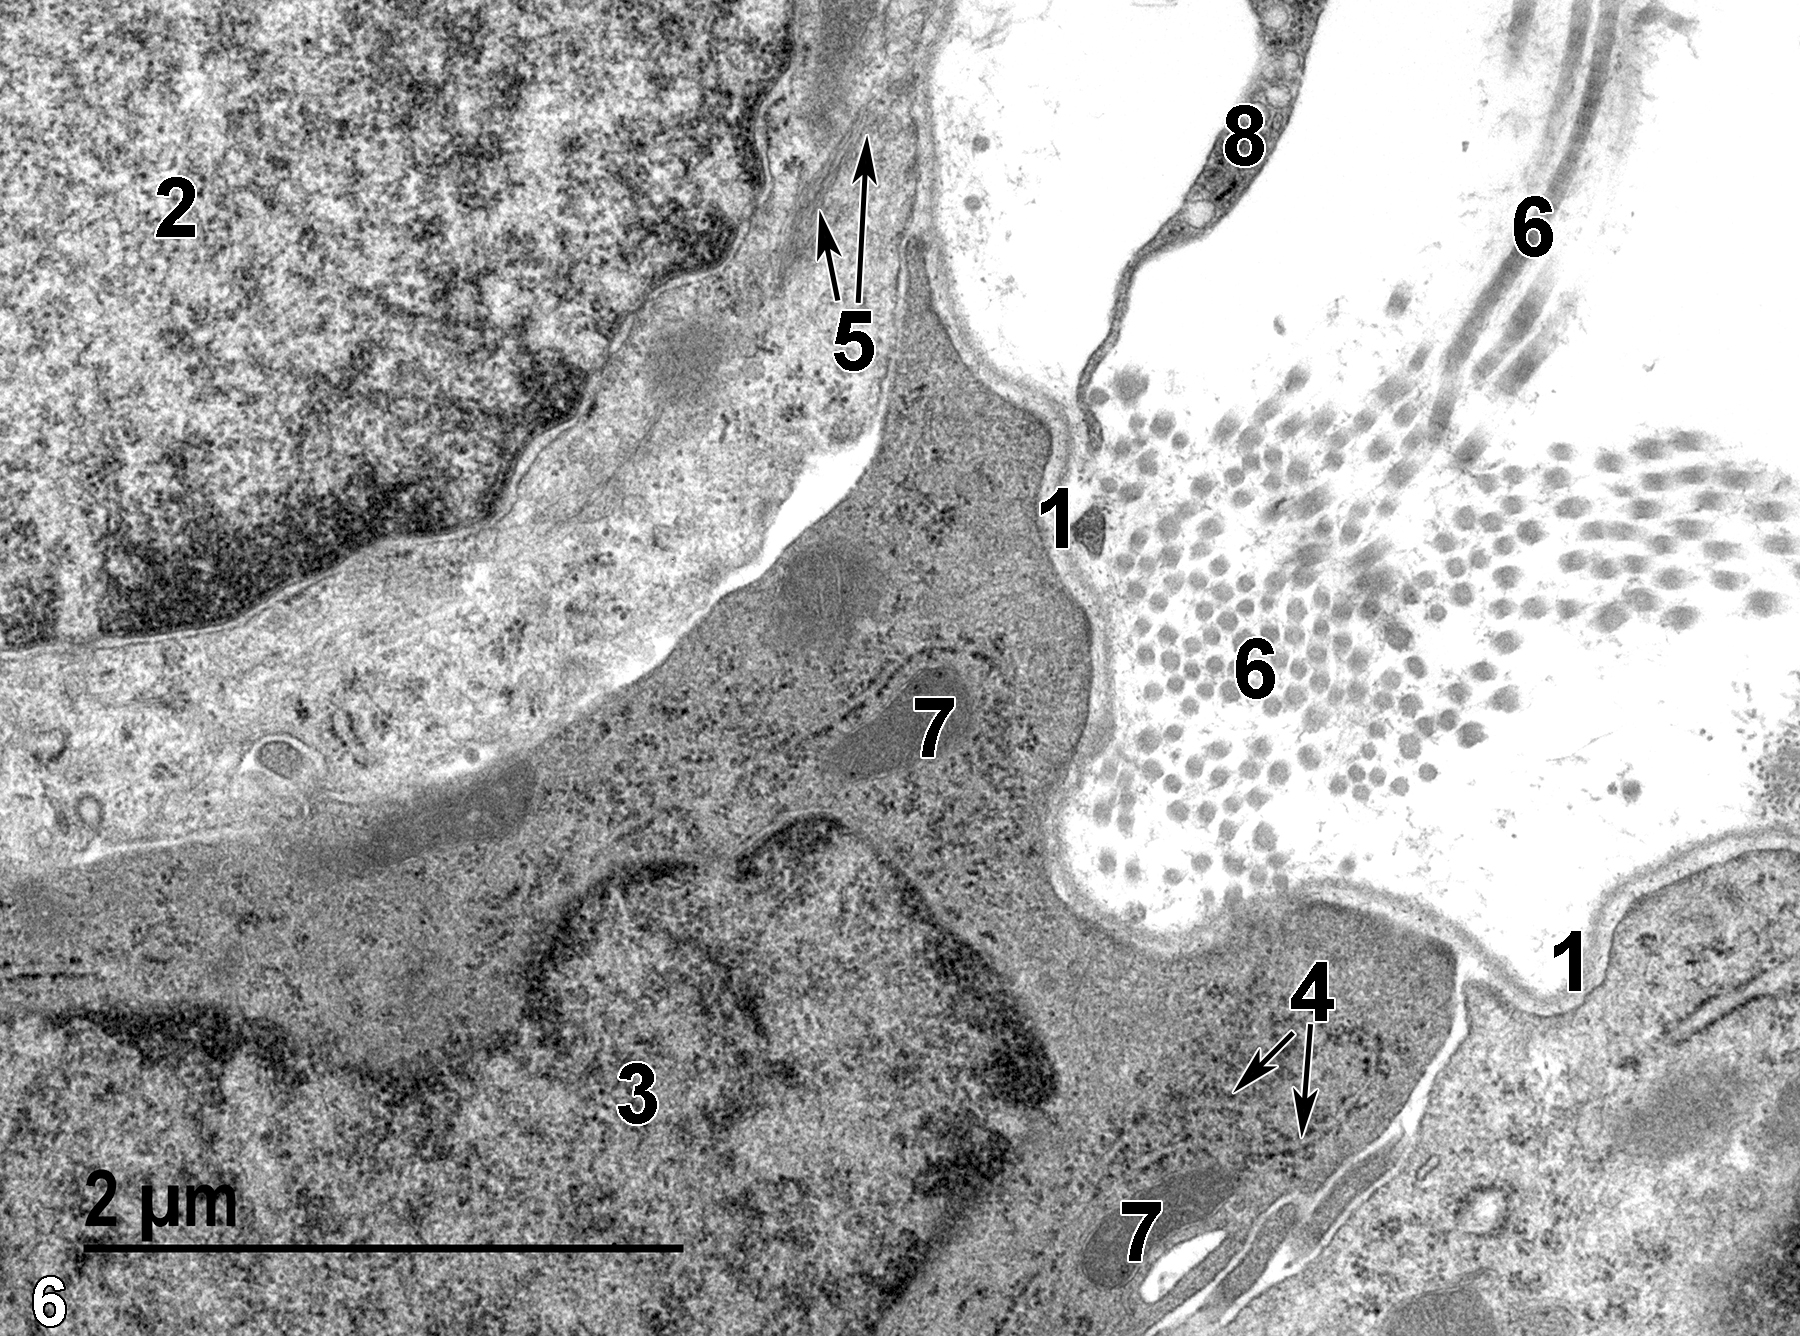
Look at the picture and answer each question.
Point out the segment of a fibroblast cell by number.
8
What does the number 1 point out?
basal lamina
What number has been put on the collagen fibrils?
6.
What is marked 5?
5 marks the bundles of cytoplasmic filaments.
